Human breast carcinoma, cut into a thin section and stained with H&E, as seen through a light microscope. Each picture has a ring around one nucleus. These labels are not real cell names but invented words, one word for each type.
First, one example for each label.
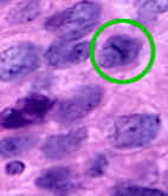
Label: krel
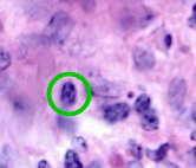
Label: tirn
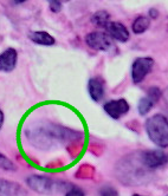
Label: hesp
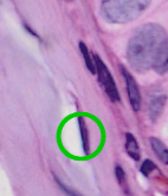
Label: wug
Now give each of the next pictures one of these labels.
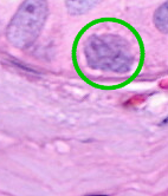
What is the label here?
krel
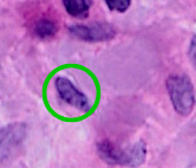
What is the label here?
wug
